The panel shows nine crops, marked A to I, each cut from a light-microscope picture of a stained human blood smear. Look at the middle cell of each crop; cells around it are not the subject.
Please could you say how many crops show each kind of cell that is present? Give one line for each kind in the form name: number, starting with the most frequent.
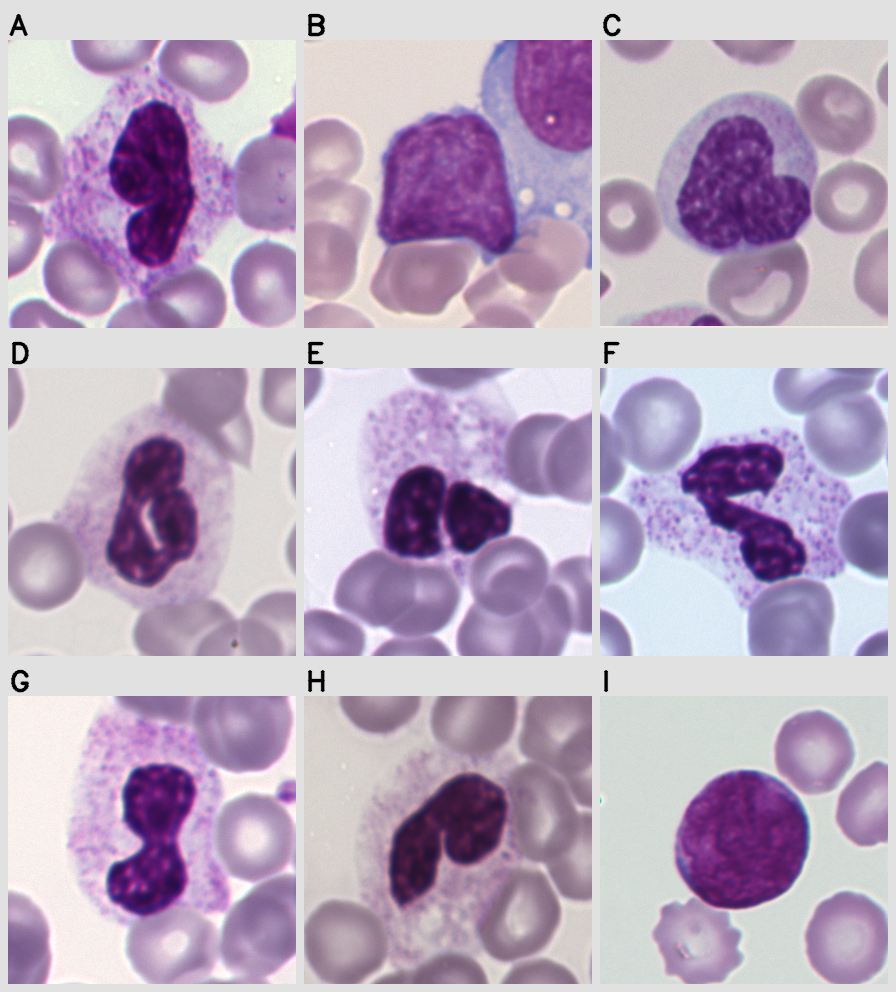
segmented neutrophil: 4
band neutrophil: 3
myeloblast: 2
